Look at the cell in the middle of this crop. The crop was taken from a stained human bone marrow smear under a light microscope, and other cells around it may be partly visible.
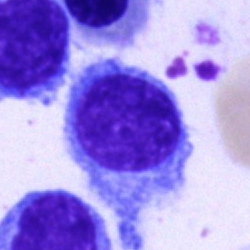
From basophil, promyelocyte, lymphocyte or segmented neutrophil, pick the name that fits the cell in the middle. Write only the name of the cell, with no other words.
lymphocyte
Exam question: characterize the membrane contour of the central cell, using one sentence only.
Its surface contour departs from smoothness through ragged edges or outward projections.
